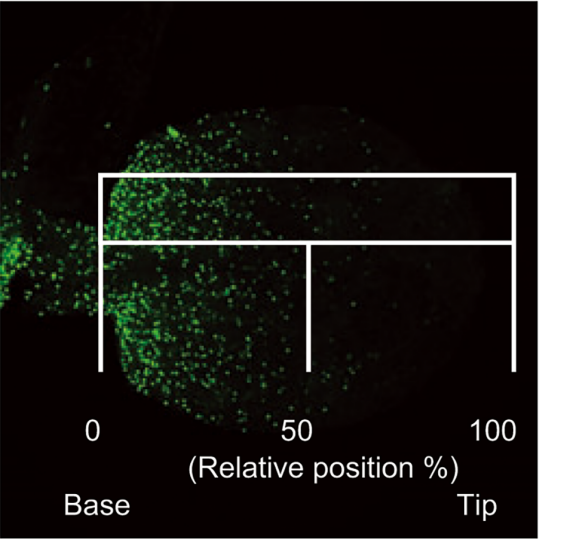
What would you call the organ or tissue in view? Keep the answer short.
Leaf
